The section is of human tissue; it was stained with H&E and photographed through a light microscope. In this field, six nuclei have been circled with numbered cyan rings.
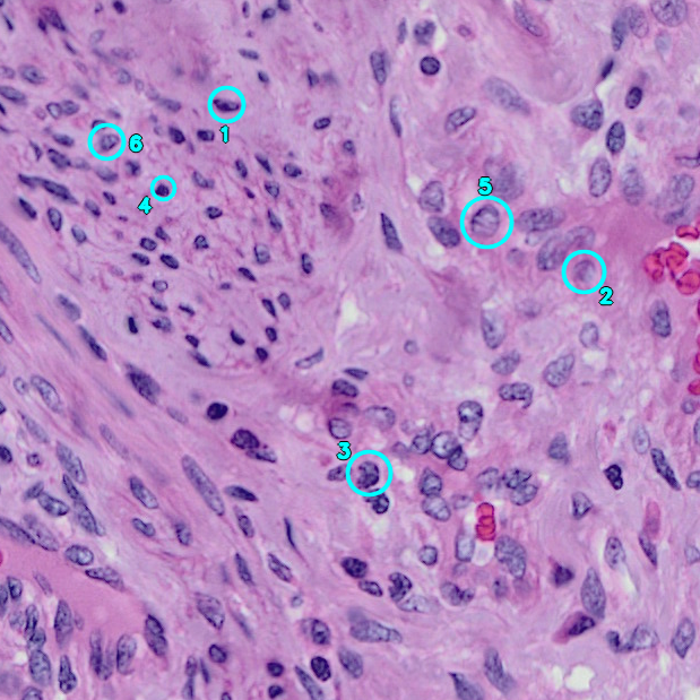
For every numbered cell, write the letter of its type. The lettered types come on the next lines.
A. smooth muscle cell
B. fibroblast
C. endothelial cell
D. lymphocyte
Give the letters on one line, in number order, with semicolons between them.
B; C; D; A; C; A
